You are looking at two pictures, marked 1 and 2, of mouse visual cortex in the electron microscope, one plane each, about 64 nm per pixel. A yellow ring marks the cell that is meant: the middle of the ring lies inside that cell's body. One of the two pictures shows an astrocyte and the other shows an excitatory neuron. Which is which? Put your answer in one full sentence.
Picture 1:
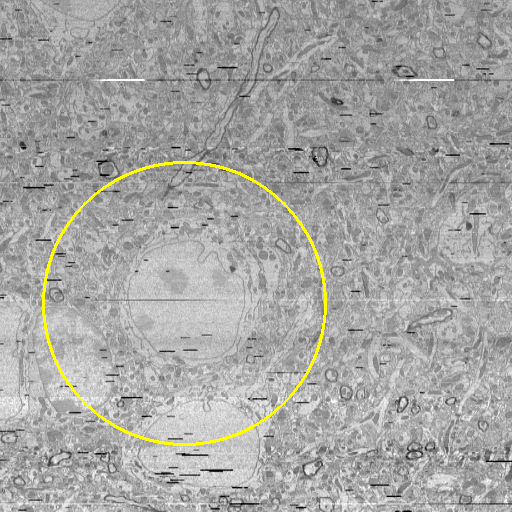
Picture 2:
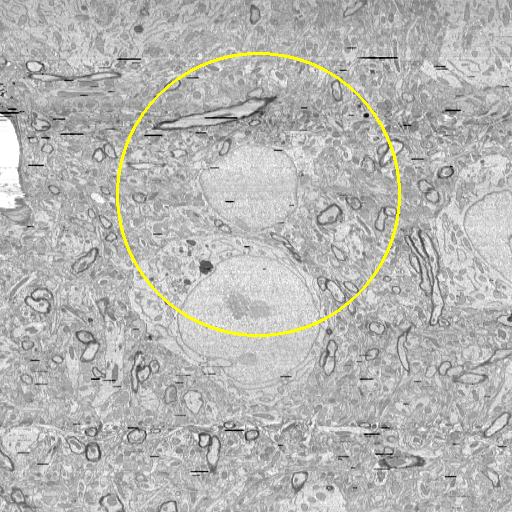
Picture 1 is of an excitatory neuron, and picture 2 is of an astrocyte.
